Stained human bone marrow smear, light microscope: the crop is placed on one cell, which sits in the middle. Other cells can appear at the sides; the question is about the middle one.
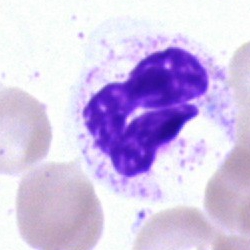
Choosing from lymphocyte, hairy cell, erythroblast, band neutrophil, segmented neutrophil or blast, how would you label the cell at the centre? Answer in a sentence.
In the middle of this smear crop is a segmented neutrophil.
